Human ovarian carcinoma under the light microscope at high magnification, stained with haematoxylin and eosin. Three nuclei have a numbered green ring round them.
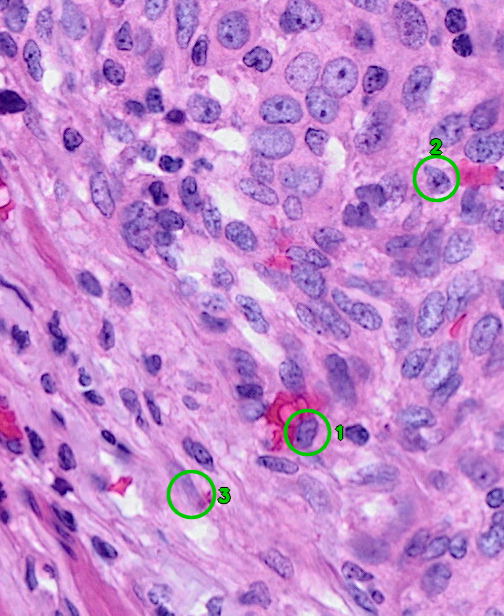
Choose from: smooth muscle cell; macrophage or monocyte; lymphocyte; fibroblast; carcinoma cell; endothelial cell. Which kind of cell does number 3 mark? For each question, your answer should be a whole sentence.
The cell numbered 3 has been identified as a fibroblast.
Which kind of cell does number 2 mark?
The cell numbered 2 represents a macrophage or monocyte.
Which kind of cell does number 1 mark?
The numbered cell 1 in this field is an endothelial cell.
